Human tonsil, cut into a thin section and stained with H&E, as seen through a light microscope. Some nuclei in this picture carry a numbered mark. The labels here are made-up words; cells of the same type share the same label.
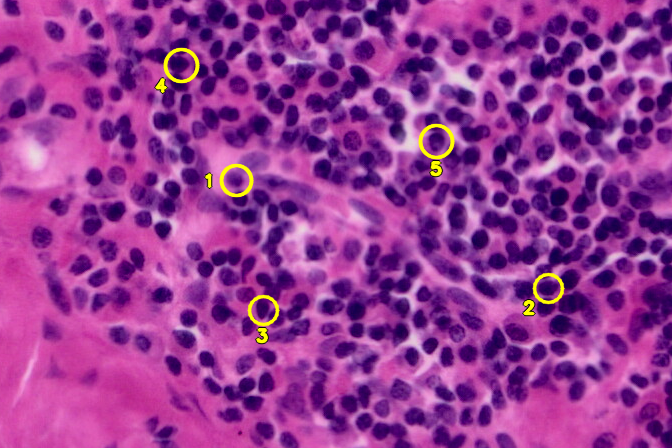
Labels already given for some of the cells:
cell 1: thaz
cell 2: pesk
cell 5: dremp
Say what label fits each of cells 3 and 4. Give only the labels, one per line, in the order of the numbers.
pesk
pesk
